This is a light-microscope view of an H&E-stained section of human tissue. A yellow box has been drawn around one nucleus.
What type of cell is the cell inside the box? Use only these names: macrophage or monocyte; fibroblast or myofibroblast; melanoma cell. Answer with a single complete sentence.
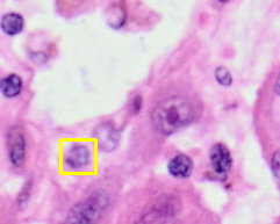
The cell meant here is a macrophage or monocyte.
